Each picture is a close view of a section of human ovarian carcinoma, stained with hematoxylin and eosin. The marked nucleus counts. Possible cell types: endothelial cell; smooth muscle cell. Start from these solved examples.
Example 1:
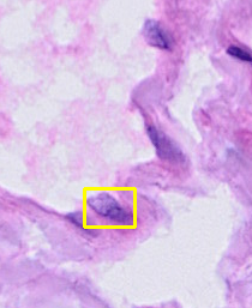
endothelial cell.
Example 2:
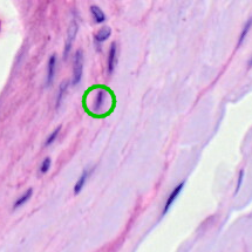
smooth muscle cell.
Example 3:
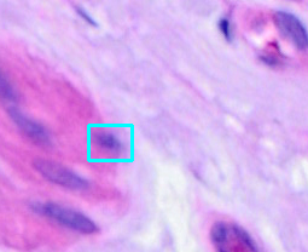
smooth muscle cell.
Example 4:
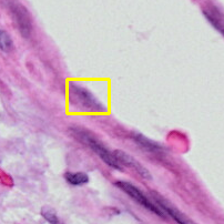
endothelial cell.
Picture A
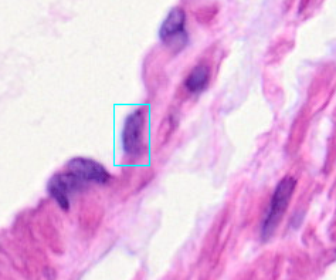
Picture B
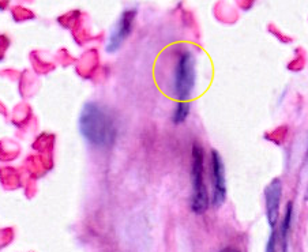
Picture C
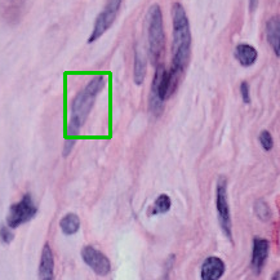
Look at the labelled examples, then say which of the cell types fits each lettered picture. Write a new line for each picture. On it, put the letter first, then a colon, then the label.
A: endothelial cell.
B: endothelial cell.
C: smooth muscle cell.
